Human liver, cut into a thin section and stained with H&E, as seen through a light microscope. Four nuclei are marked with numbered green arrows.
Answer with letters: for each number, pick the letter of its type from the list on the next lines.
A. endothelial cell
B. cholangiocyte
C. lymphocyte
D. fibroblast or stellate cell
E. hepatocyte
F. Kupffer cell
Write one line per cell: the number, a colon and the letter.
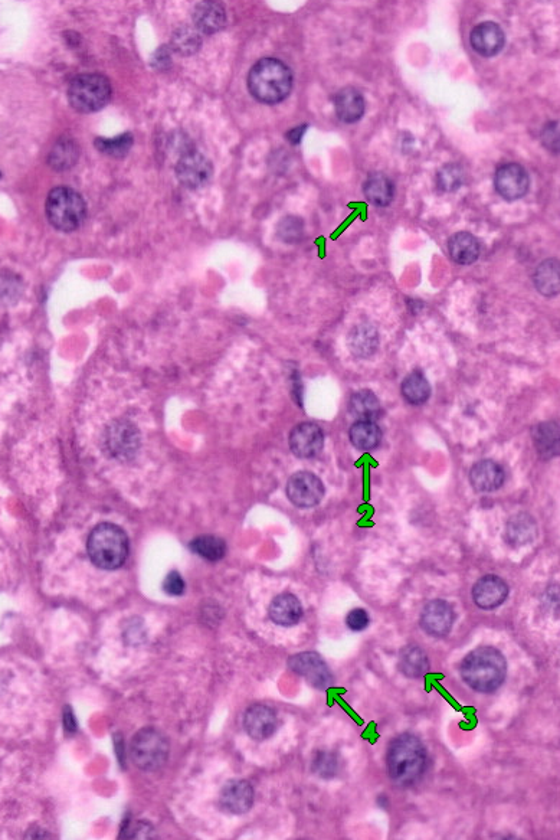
1: E
2: E
3: E
4: F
